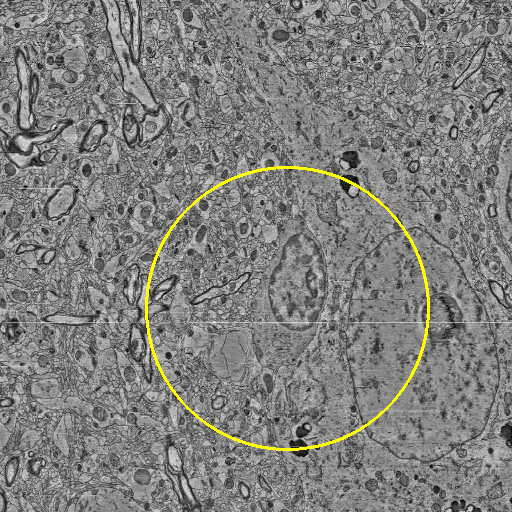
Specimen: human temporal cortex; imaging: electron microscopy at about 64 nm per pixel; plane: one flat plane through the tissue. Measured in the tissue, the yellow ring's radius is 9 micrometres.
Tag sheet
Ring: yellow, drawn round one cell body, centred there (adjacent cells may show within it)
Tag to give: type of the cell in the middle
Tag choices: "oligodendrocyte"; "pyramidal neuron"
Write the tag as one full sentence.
I tag the cell centred in the yellow ring as an oligodendrocyte in this picture.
